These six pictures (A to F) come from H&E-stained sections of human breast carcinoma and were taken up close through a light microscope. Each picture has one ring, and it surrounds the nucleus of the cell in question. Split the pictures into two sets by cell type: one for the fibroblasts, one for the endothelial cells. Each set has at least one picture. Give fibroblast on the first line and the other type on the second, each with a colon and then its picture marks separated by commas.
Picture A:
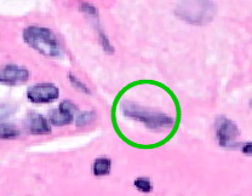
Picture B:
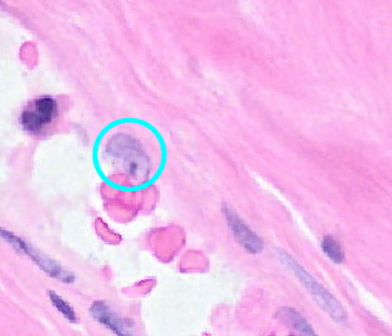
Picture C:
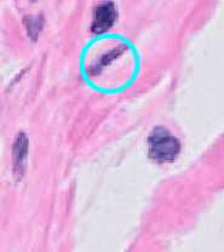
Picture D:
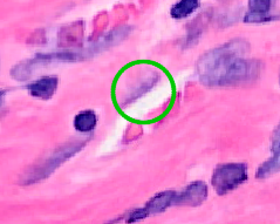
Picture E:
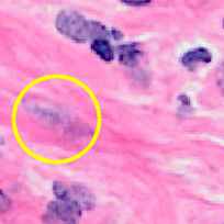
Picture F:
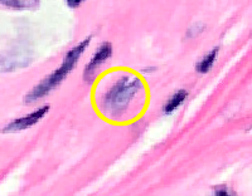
fibroblast: A, C, E
endothelial cell: B, D, F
